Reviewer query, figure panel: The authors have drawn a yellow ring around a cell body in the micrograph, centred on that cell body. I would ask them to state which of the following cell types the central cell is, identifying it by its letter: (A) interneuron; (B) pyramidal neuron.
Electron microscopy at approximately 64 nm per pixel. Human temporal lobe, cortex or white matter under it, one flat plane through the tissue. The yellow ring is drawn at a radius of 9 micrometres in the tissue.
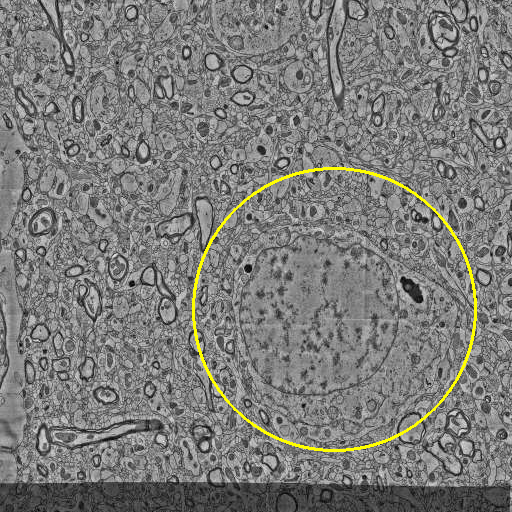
B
